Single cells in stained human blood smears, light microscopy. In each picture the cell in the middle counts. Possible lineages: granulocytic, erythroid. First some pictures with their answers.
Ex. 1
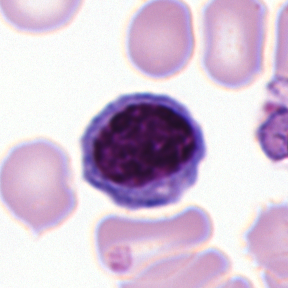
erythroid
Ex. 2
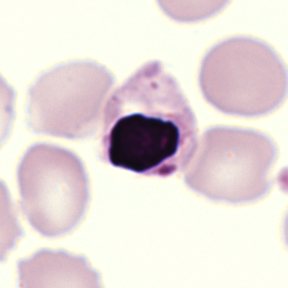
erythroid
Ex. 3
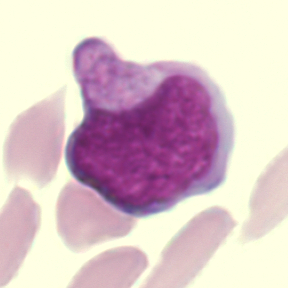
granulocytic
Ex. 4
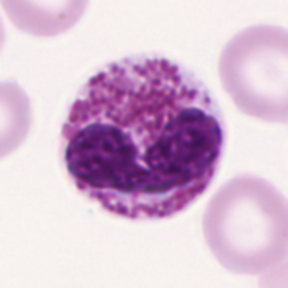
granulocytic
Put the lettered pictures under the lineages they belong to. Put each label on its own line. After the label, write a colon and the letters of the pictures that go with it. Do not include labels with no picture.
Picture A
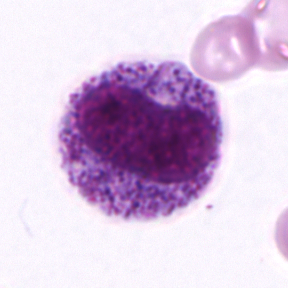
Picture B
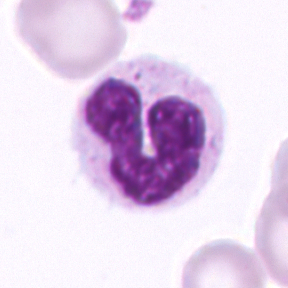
granulocytic: A, B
